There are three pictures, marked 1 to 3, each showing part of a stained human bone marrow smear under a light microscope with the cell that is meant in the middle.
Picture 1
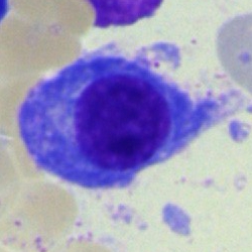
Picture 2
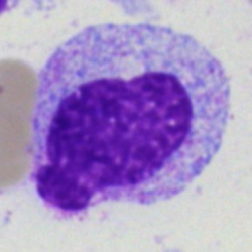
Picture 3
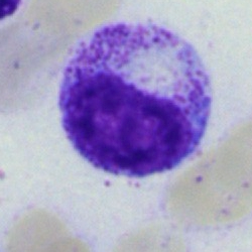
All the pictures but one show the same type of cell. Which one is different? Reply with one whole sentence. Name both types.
The different one is picture 1; it shows a plasma cell, whereas all the others show myelocytes.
